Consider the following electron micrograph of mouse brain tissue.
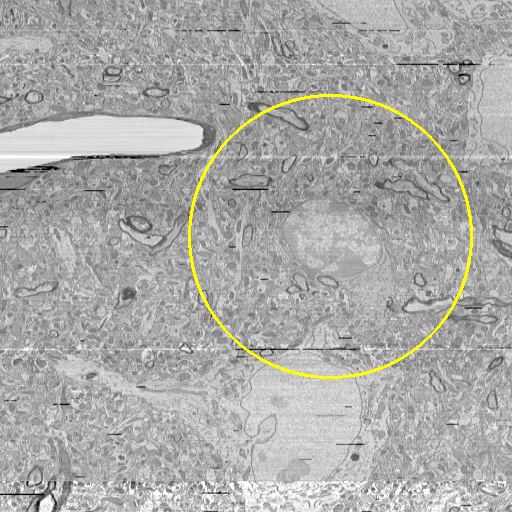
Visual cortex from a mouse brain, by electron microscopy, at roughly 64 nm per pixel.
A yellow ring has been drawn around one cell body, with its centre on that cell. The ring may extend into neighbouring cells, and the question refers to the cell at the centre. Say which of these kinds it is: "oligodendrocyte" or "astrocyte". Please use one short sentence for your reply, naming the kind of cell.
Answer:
The centre of the ring falls on an oligodendrocyte.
